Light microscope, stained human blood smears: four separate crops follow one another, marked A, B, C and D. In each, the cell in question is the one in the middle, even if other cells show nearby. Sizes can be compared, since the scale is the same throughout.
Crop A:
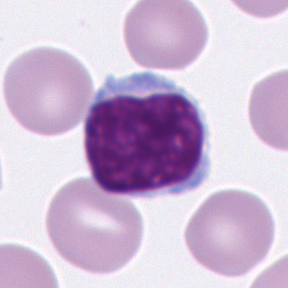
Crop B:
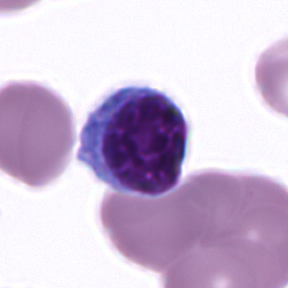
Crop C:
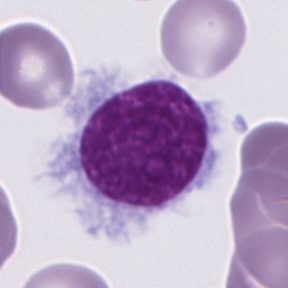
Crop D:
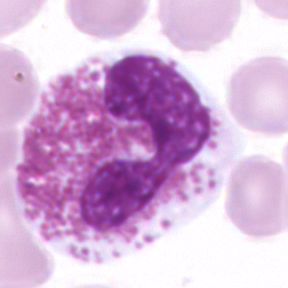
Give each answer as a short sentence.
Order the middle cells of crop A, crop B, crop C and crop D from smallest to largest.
Smallest first: B, A, C, D.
